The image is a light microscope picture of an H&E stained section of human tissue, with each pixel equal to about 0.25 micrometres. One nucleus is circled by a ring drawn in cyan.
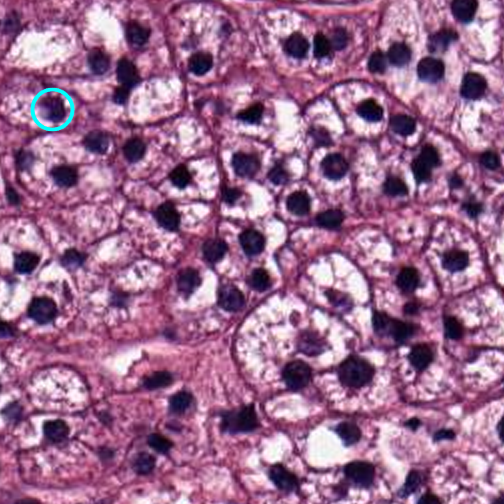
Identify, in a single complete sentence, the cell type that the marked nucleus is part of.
Singled out by the mark is the nucleus of an adrenal cortical cell.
